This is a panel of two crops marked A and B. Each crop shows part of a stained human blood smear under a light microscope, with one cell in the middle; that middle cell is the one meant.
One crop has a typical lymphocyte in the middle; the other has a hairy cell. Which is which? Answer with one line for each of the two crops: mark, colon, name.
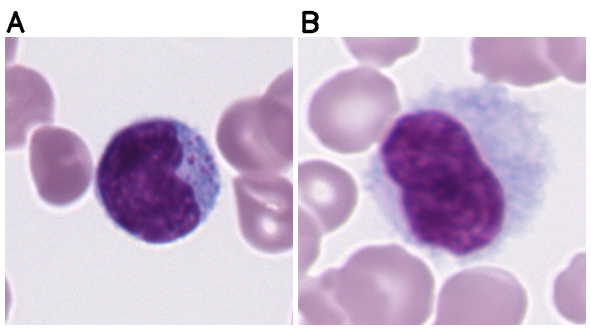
A: typical lymphocyte
B: hairy cell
